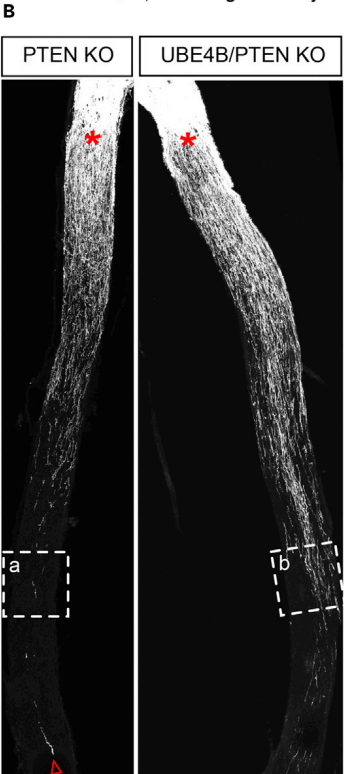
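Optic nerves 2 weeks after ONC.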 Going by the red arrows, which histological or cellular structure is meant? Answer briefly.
Longest axons.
